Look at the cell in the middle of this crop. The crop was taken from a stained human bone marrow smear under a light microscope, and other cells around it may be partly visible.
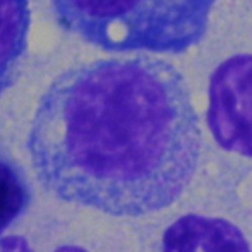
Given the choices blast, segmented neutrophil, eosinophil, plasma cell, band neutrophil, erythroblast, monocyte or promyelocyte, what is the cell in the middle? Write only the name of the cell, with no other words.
promyelocyte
